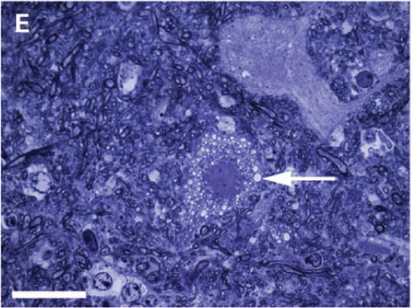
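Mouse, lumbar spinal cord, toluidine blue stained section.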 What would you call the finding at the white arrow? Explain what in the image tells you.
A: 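The cell body at the arrow is riddled with many small clear round holes. The neighbouring tissue lacks such clustered vacuoles.
Conclusion: vacuolated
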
